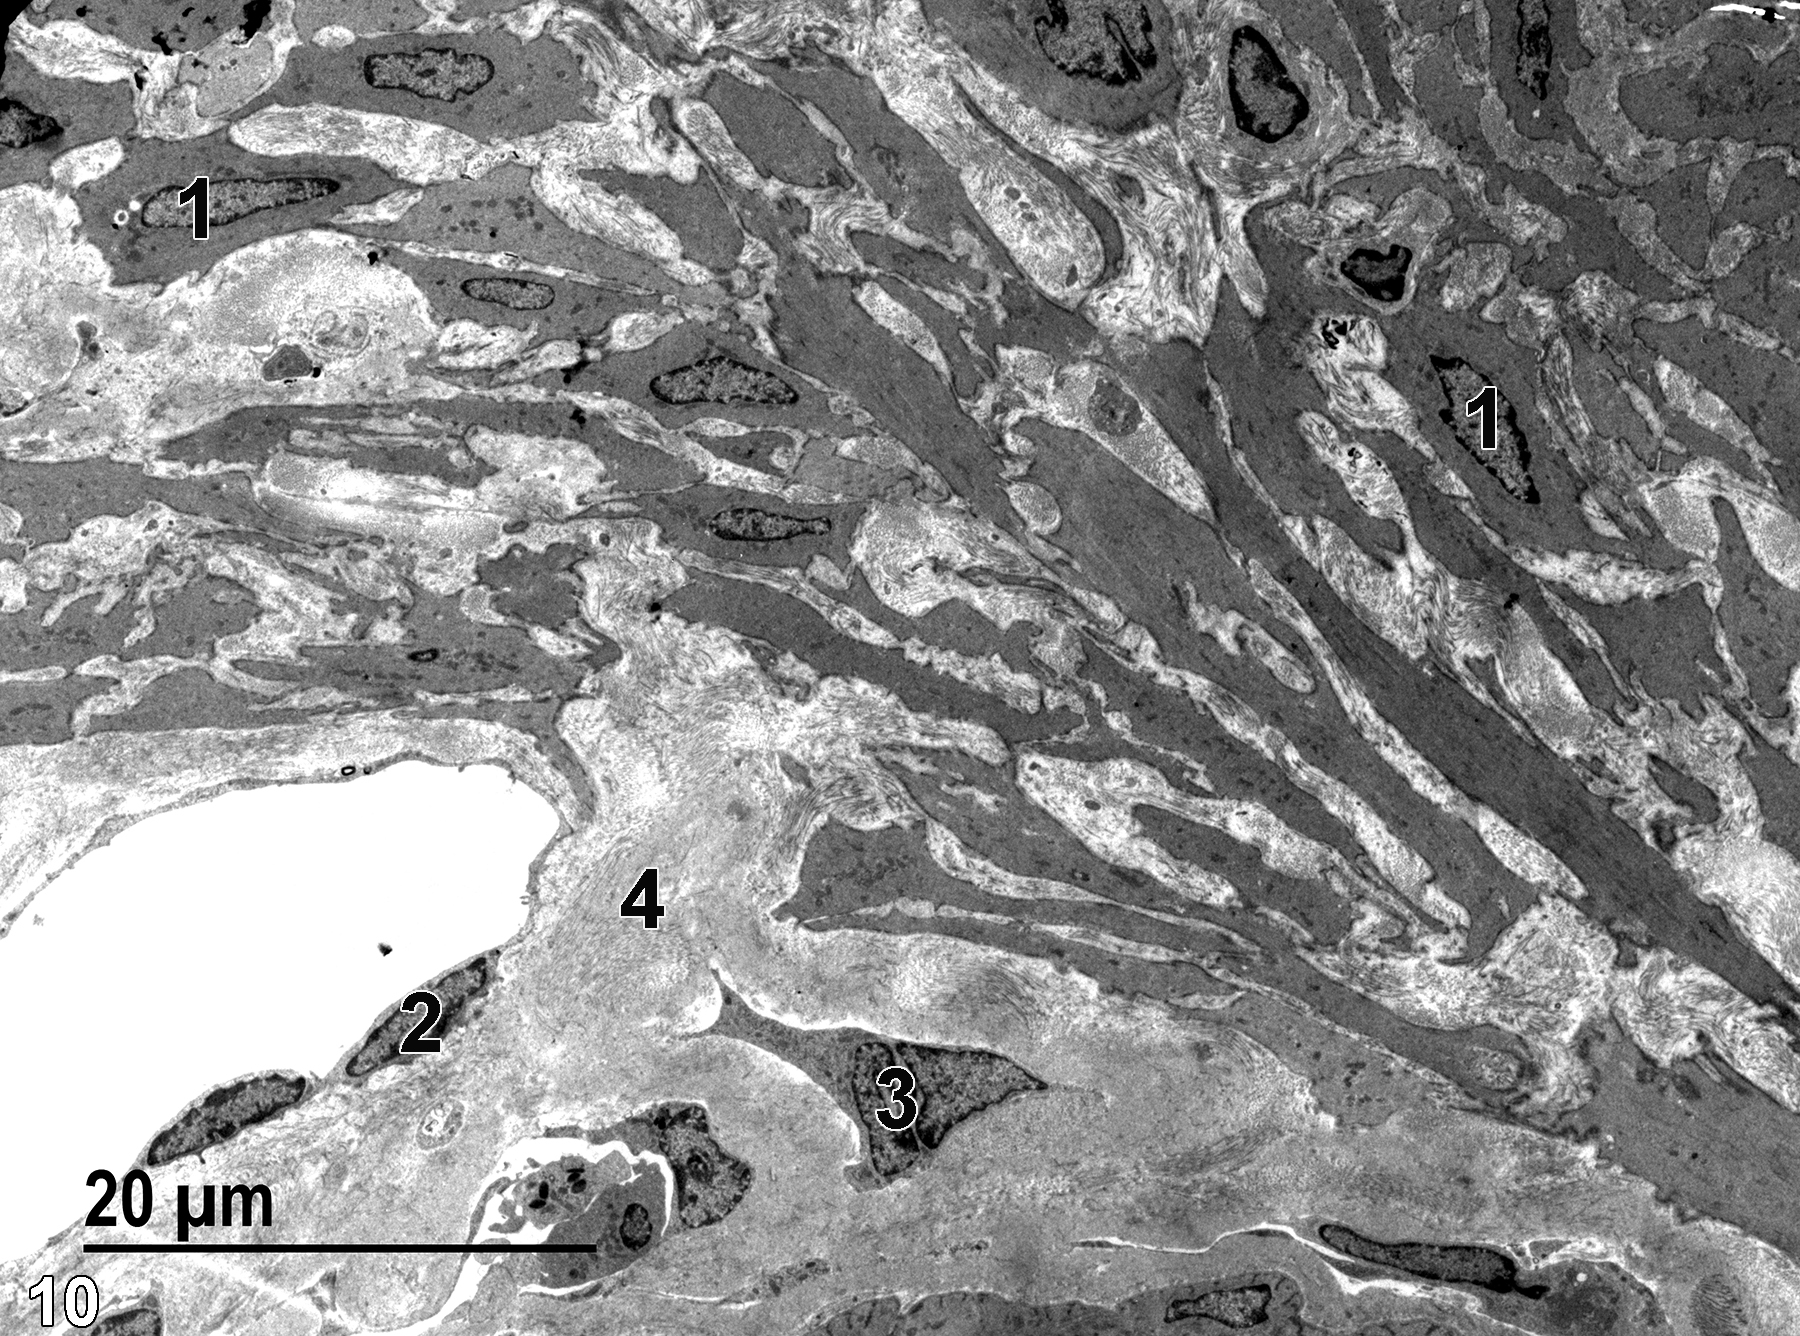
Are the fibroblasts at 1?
No, 1 marks the smooth muscle cells.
